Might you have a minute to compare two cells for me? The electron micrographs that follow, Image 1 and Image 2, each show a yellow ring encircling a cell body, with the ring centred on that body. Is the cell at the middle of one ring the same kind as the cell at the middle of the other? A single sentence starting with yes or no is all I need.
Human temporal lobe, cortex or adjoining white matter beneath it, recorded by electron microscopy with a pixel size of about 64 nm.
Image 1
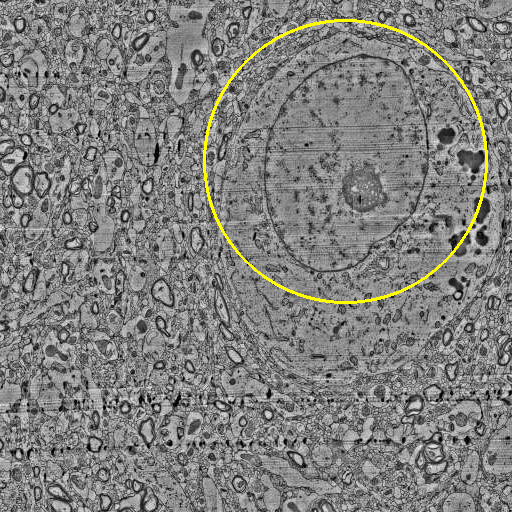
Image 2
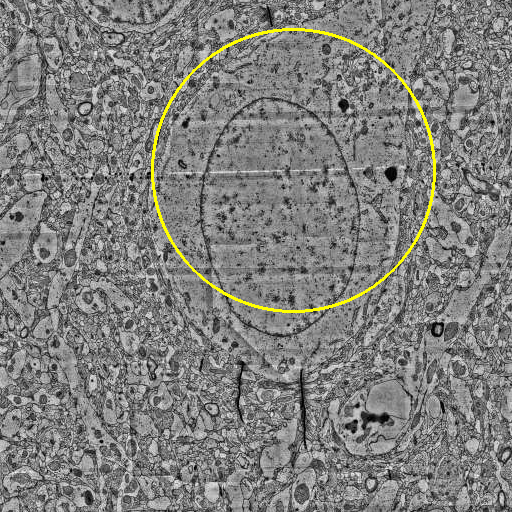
Yes, the cells in the middle of the two rings are of one shared kind.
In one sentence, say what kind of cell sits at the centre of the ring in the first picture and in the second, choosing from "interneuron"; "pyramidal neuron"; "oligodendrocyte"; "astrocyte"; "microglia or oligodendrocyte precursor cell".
In both pictures the ring is centred on a pyramidal neuron.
